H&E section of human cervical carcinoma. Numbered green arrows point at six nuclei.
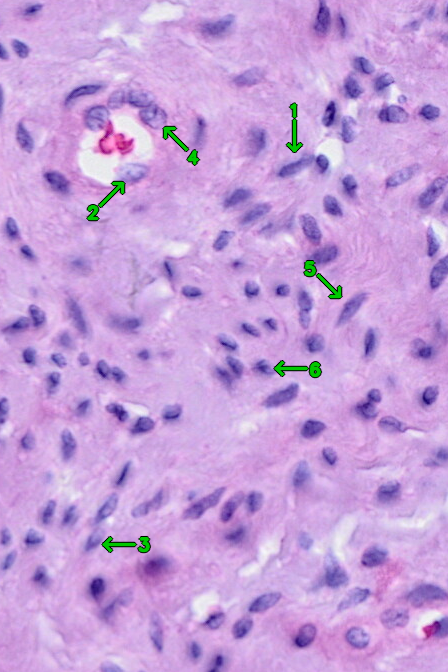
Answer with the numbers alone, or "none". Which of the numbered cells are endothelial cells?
2, 4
